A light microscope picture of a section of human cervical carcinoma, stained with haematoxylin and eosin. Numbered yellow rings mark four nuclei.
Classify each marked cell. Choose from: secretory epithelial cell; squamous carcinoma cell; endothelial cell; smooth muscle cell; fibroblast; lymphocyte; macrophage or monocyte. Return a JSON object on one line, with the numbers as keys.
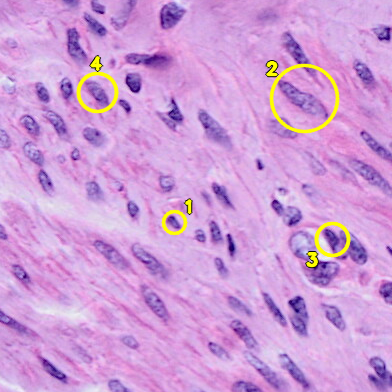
{"1": "smooth muscle cell", "2": "smooth muscle cell", "3": "endothelial cell", "4": "smooth muscle cell"}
